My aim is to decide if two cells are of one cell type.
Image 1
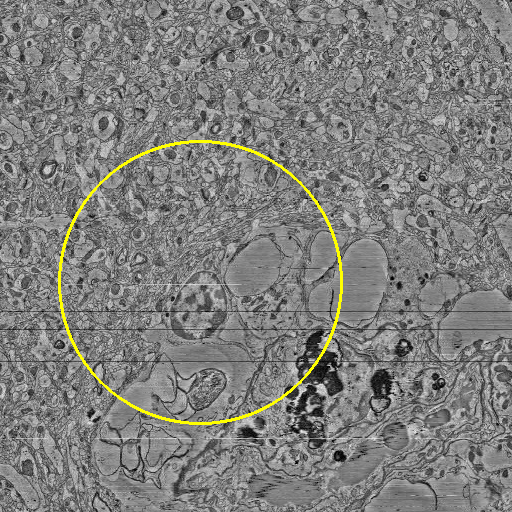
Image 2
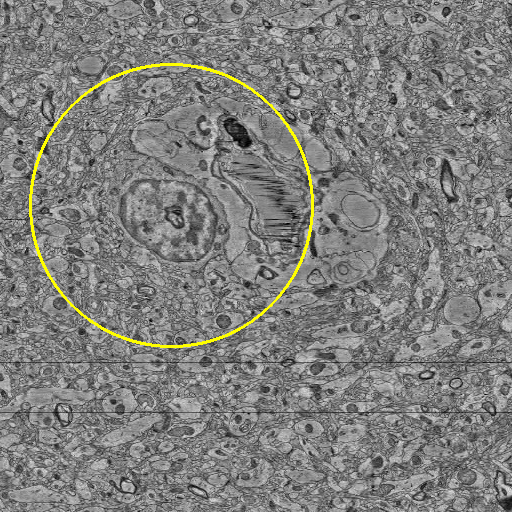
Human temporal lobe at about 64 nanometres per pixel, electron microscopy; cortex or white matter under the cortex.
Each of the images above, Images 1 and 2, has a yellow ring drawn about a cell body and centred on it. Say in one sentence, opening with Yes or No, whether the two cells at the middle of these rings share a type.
No, in Images 1 and 2 the cells at the middle of the rings fall into two types.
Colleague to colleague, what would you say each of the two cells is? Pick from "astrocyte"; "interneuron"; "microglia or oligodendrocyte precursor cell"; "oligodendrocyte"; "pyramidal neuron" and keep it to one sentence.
The cell in the first picture is a microglial cell or oligodendrocyte precursor cell; the second picture's cell is an oligodendrocyte.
